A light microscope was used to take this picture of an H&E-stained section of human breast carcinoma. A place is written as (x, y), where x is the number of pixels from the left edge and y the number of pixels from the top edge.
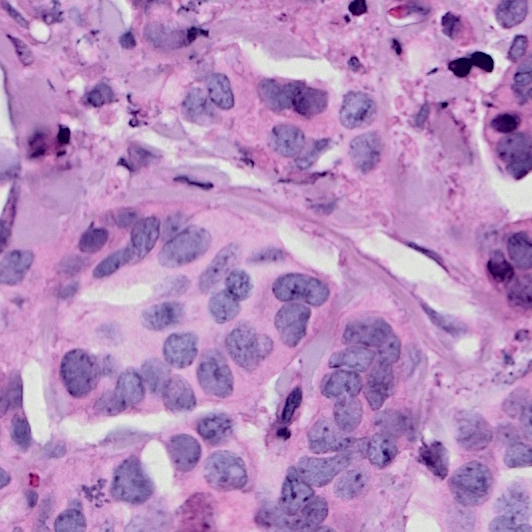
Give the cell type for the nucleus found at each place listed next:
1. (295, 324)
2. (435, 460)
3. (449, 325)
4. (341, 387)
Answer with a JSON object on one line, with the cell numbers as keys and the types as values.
{"1": "carcinoma cell", "2": "carcinoma cell", "3": "fibroblast", "4": "carcinoma cell"}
